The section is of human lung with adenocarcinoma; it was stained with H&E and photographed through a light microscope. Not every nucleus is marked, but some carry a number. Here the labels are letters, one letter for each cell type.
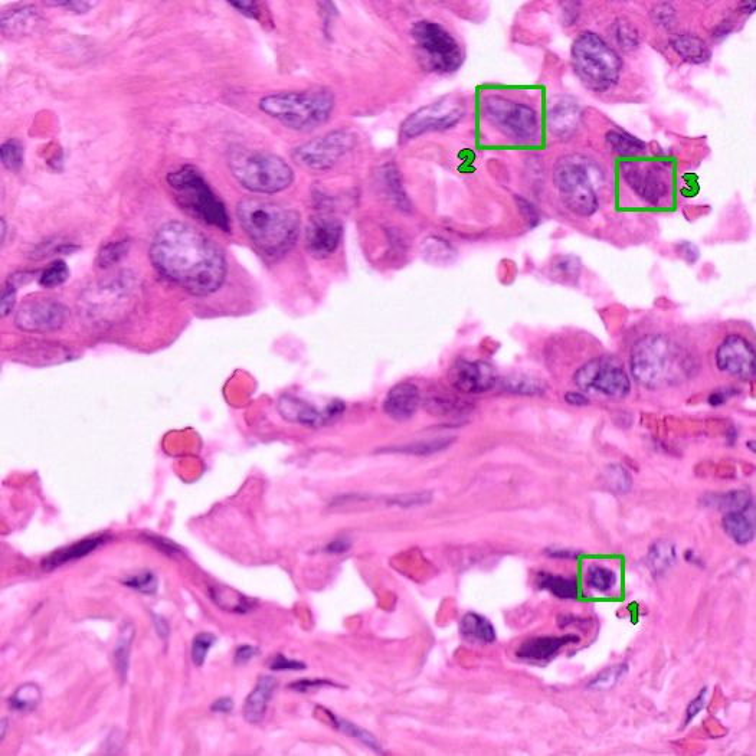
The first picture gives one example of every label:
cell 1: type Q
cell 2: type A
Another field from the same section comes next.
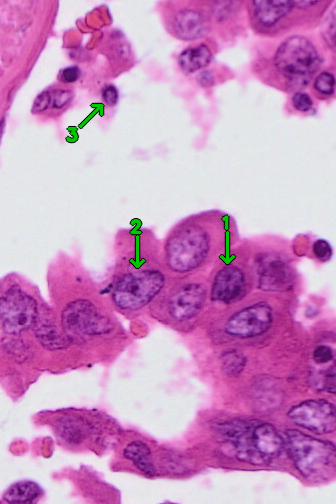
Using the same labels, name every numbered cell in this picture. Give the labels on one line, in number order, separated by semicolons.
type A; type A; type Q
